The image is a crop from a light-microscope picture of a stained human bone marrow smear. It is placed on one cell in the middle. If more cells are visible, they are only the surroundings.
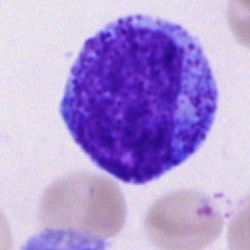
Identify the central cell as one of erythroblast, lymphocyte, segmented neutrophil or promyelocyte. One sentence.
The cell at the middle of the frame should be recorded as a promyelocyte.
